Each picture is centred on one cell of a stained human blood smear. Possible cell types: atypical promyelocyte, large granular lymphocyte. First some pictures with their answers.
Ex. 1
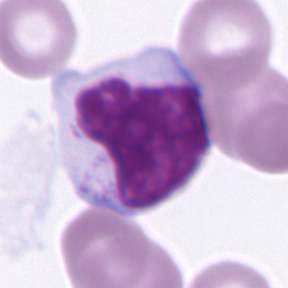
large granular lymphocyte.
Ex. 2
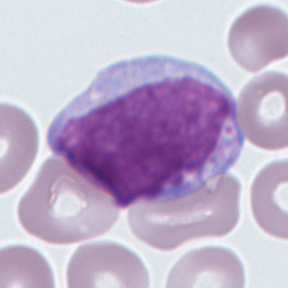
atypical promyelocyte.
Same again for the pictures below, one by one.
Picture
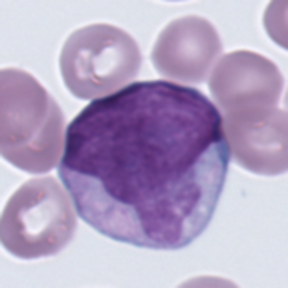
atypical promyelocyte.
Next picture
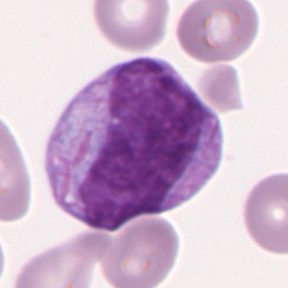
atypical promyelocyte.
